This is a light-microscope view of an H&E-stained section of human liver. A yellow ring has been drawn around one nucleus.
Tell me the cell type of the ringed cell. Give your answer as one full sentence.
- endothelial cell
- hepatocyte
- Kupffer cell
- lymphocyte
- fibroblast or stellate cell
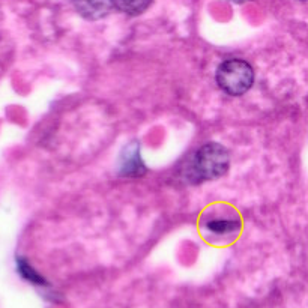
On this particular slide, the ringed cell is a fibroblast or stellate cell.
